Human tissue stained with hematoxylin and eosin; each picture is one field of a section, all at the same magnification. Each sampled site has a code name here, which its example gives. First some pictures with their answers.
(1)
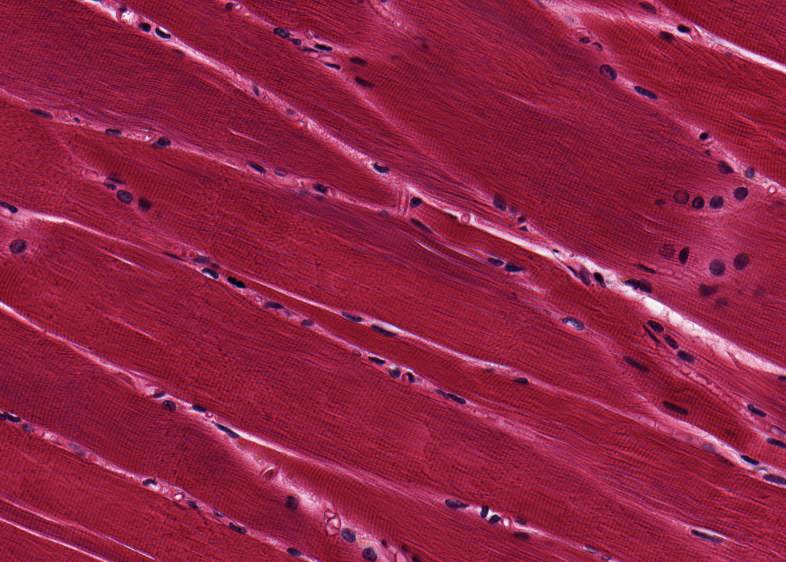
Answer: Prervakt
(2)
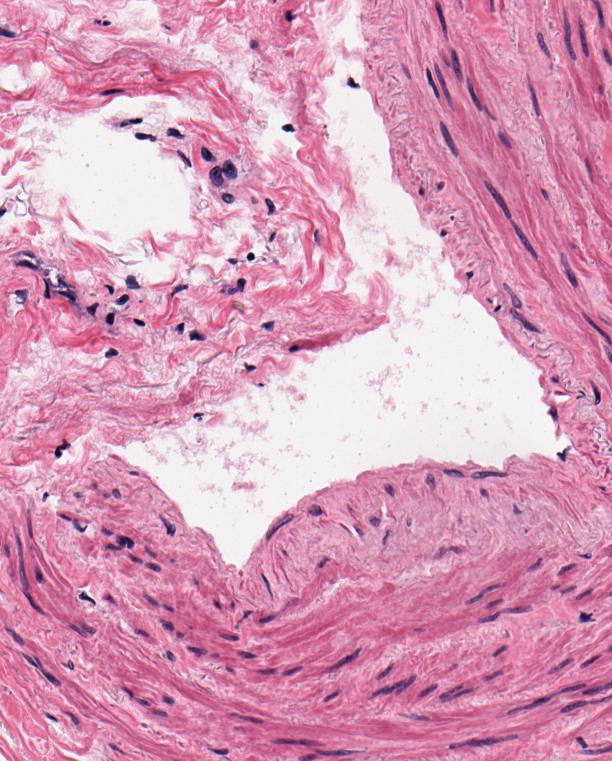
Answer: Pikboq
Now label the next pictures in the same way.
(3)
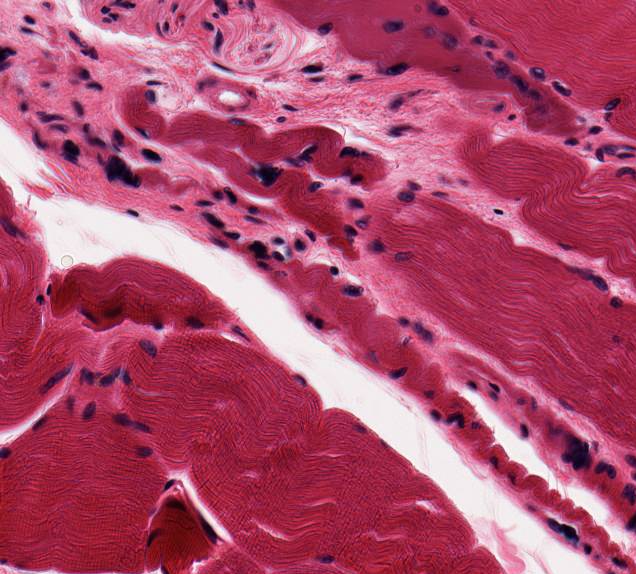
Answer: Prervakt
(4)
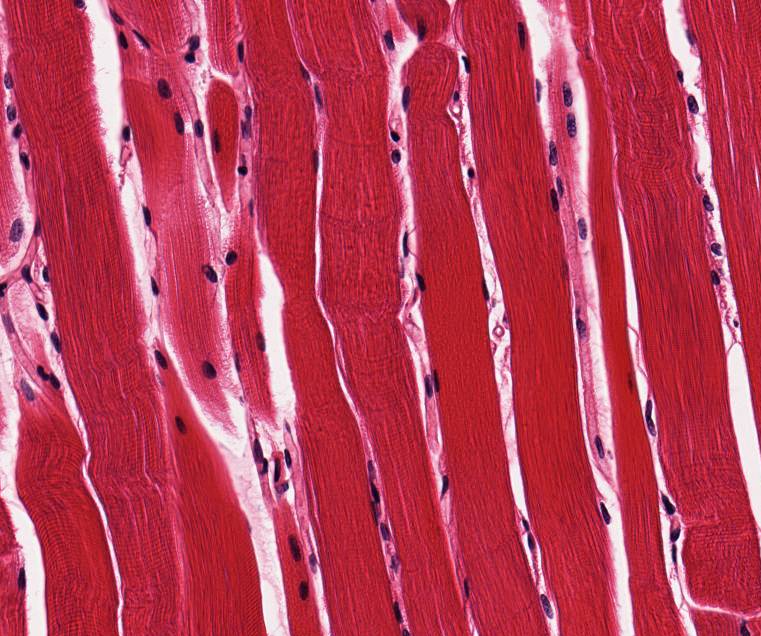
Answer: Prervakt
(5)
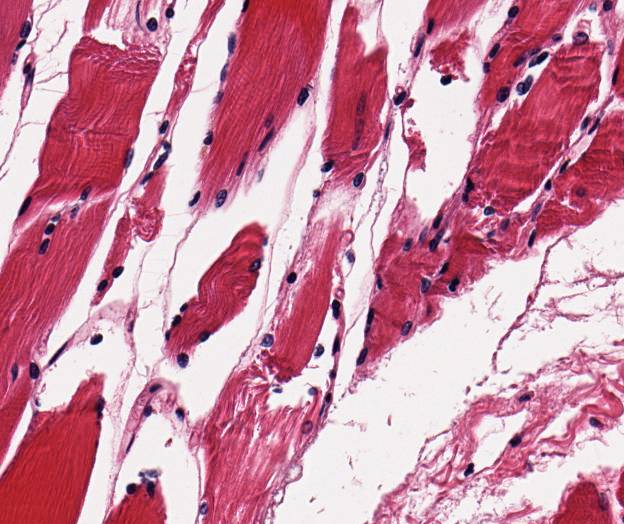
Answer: Prervakt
